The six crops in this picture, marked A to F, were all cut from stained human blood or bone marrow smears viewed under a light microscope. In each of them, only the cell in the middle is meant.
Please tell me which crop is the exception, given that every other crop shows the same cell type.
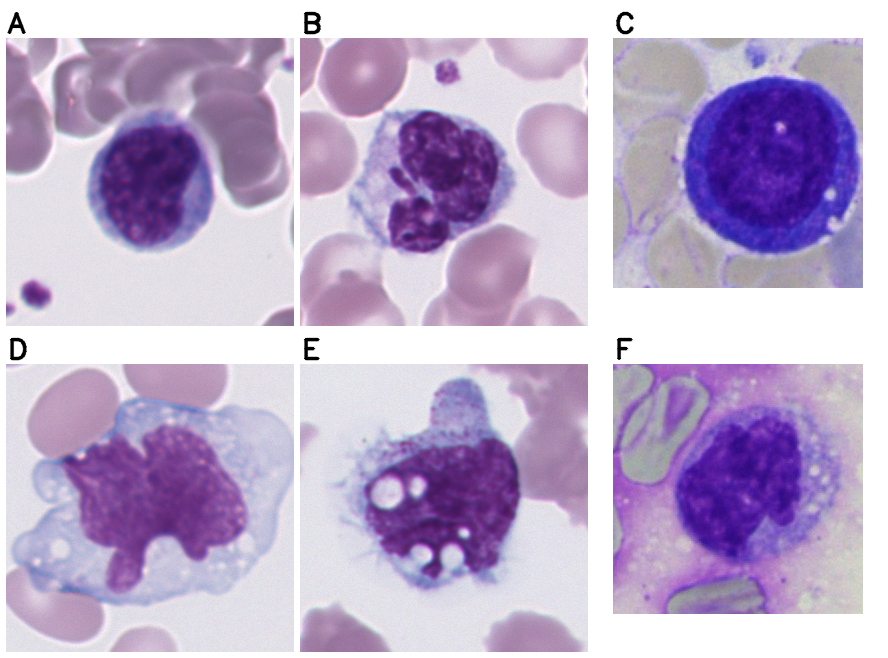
C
